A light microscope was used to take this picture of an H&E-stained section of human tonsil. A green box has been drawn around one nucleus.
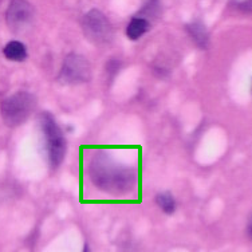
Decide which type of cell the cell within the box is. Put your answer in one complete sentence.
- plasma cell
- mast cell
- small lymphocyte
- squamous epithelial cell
This is a squamous epithelial cell.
